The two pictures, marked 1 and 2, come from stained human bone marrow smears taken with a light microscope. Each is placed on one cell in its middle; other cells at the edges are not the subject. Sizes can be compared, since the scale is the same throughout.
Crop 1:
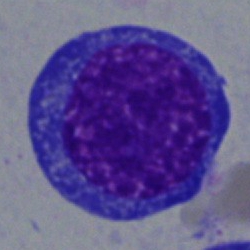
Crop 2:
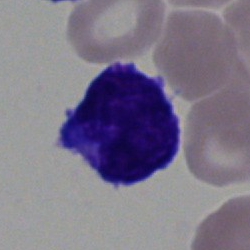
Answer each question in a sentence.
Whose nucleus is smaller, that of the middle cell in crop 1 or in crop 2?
The nucleus in crop 2 is smaller; the one in crop 1 has about 2 times its area.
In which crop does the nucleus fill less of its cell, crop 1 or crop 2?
In crop 1 the nucleus takes up the smaller part of its cell.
